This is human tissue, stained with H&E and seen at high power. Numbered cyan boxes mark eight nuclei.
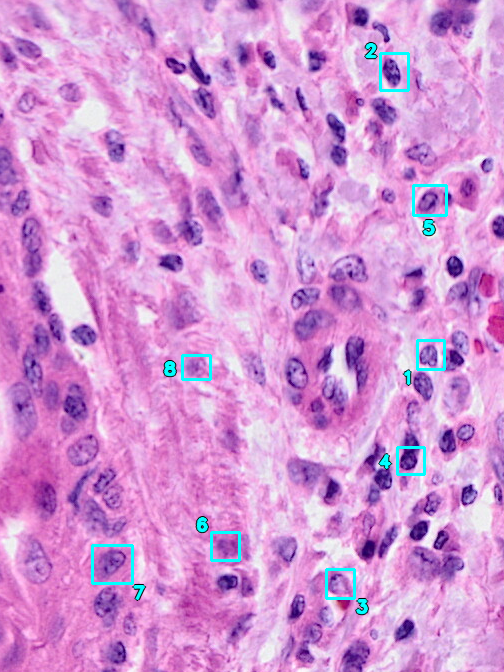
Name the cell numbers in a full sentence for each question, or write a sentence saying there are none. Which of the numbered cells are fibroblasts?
The cells bearing the numbers 6 and 8 are fibroblasts.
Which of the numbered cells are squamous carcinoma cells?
The only cell among those numbered to be a squamous carcinoma cell is number 7.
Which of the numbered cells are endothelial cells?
Cell 3 stands alone among the numbered cells as an endothelial cell.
